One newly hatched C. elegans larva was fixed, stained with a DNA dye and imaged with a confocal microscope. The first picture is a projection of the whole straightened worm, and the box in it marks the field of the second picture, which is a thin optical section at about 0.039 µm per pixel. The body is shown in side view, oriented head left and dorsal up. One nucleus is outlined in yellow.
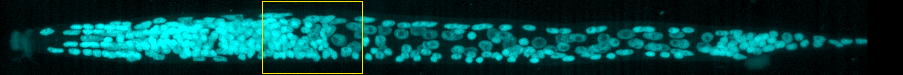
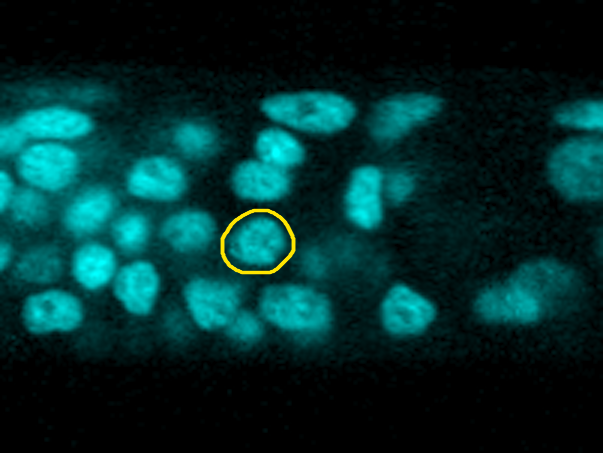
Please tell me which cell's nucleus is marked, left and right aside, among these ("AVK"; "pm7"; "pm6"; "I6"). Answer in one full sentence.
The cell whose nucleus is marked is pm7, a pharyngeal muscle cell.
